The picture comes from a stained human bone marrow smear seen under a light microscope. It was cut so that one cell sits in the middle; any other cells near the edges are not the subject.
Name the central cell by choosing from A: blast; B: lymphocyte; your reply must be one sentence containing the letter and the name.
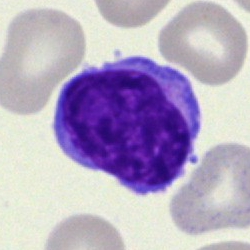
At the centre of the crop lies a blast, which makes option A correct.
